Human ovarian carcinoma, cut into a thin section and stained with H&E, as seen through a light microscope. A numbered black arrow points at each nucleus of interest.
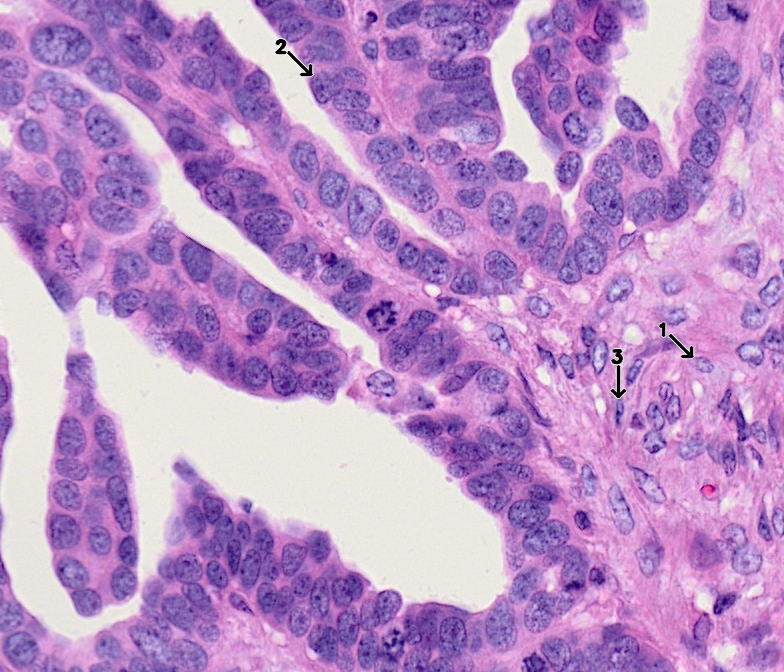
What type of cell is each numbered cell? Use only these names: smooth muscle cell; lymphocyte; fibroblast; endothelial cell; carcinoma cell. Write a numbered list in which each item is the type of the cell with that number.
1. fibroblast
2. carcinoma cell
3. fibroblast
